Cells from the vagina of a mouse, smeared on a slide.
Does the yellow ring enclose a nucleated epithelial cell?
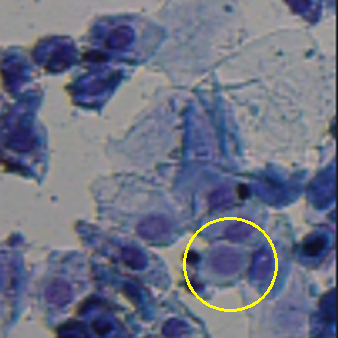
Yes. The ring encloses a nucleated epithelial cell.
